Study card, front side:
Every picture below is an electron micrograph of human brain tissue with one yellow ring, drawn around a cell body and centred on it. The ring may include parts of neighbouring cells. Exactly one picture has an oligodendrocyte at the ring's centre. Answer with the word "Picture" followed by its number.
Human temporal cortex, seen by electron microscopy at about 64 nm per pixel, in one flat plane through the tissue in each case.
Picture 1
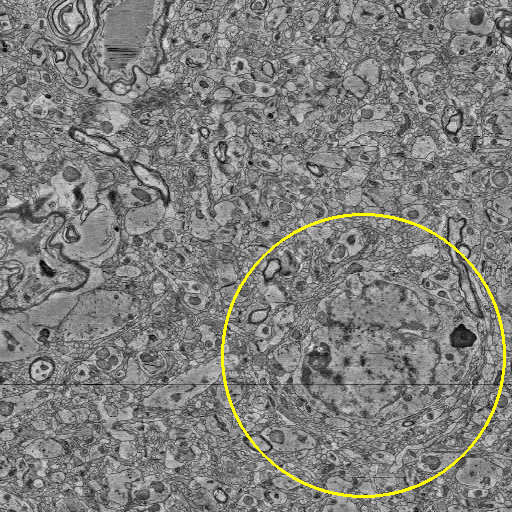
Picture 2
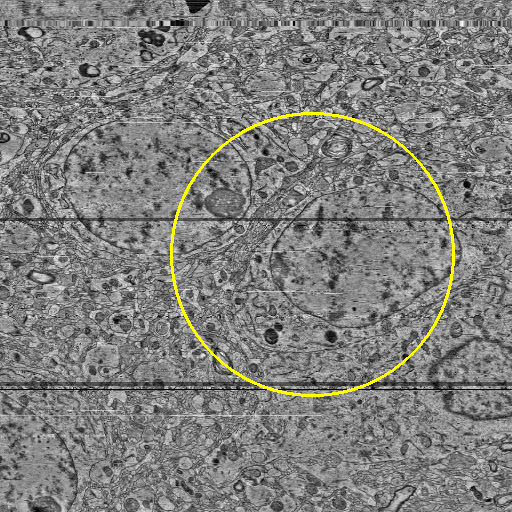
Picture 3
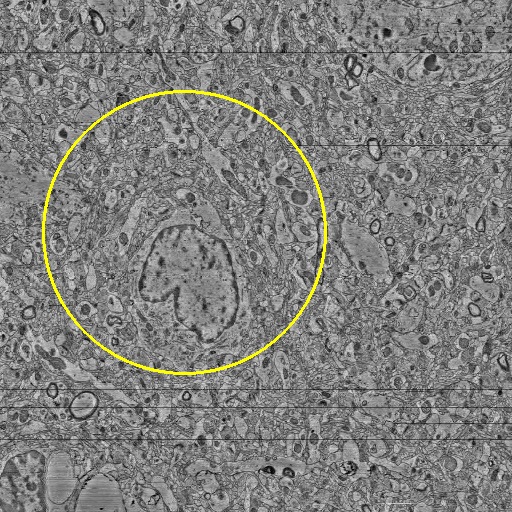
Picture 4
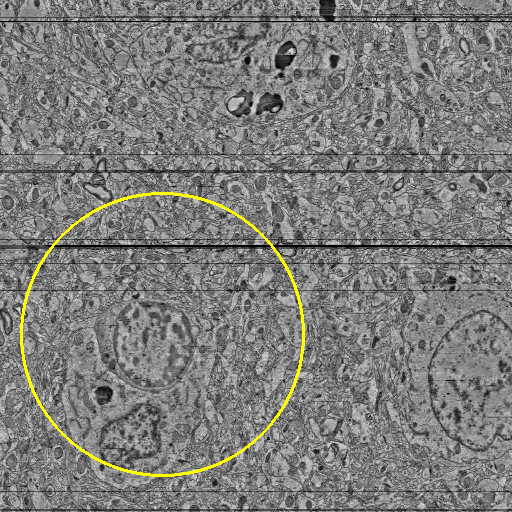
Picture 4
